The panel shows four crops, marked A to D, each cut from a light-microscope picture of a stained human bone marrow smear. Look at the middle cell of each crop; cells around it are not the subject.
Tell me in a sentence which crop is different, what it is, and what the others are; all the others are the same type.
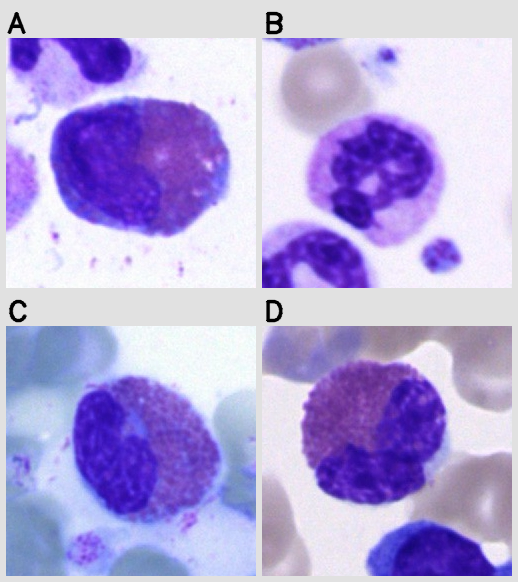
The crops all show eosinophils, with the exception of crop B, which shows a segmented neutrophil.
